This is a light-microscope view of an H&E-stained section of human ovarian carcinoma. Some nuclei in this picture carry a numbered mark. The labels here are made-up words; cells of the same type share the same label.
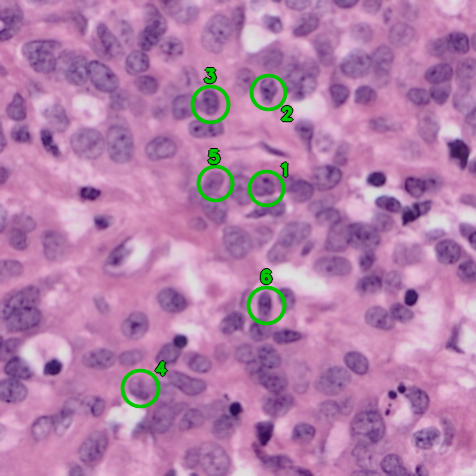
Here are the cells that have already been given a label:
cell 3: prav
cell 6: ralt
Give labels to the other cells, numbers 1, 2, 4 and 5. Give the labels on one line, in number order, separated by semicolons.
prav; ralt; prav; prav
